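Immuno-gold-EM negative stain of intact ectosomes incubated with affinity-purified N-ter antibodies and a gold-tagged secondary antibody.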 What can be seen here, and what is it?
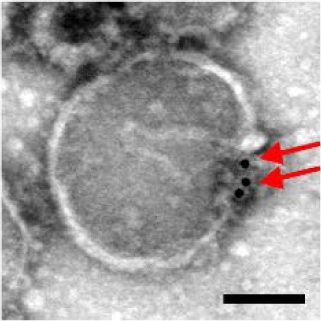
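At one edge of the vesicle a small cluster of dark, dense, round particles lies on the membrane, marked by red arrows. Some granular material lies beside the vesicle in the background.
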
